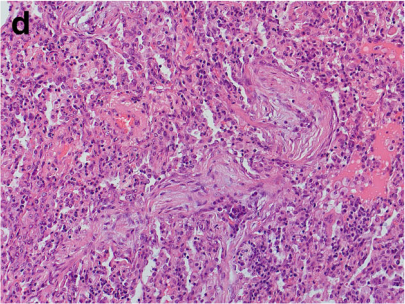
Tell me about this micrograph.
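Lung tissue with organizing pneumonia, in which rounded airspaces are filled by pale, loose, whorled plugs of fibromyxoid tissue made of elongated spindle cells. Between the plugs the tissue is crowded with small inflammatory cells with round, dark purple nuclei and scant cytoplasm. Small pink areas of eosinophilic material lie at the right edge. The normal open alveolar architecture is not seen in this field.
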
